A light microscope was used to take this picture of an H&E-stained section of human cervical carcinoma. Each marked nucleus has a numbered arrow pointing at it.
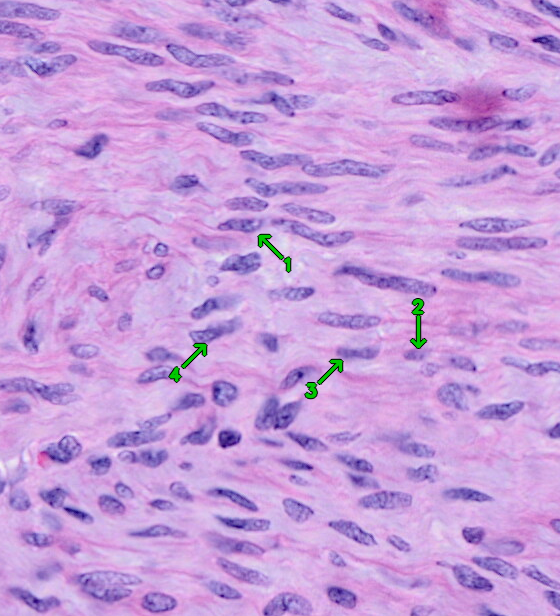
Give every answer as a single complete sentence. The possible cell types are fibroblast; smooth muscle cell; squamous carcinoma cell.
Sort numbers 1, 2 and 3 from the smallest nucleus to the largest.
From smallest to largest, the order is 3, 2, 1.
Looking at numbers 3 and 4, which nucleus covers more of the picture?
It is nucleus 4, which covers about 4 times the area of nucleus 3.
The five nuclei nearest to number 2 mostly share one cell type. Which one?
Most of the five nuclei nearest to number 2 are those of smooth muscle cells.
